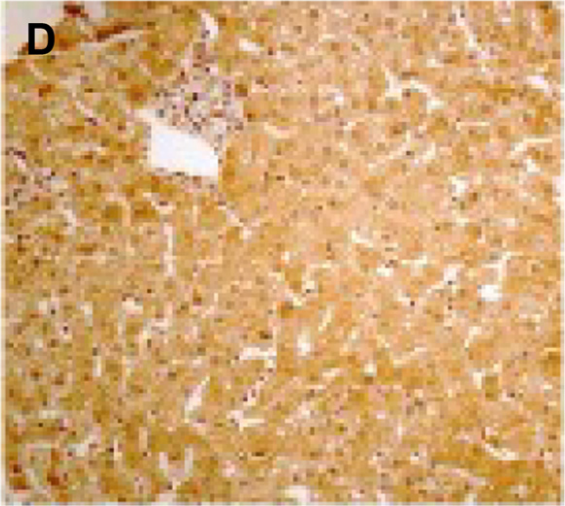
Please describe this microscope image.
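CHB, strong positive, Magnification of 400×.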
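Liver tissue in which the hepatocytes are stained a deep, diffuse brown throughout their cytoplasm. The cells form cords that run across the field, separated by narrow pale, branching clefts corresponding to sinusoids. Near the top of the field a clear, empty vessel lumen is seen, with a small group of smaller, more darkly stained cells beside it. The staining covers nearly the whole field.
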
